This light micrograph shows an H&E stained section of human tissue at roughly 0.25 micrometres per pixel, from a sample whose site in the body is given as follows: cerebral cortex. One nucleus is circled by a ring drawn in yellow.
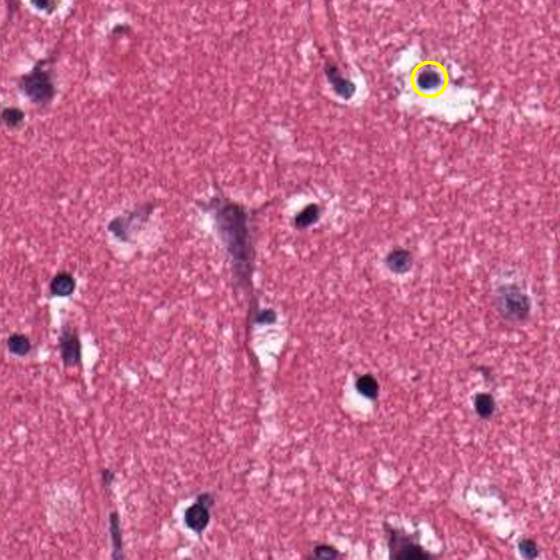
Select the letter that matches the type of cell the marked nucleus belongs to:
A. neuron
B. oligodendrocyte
B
